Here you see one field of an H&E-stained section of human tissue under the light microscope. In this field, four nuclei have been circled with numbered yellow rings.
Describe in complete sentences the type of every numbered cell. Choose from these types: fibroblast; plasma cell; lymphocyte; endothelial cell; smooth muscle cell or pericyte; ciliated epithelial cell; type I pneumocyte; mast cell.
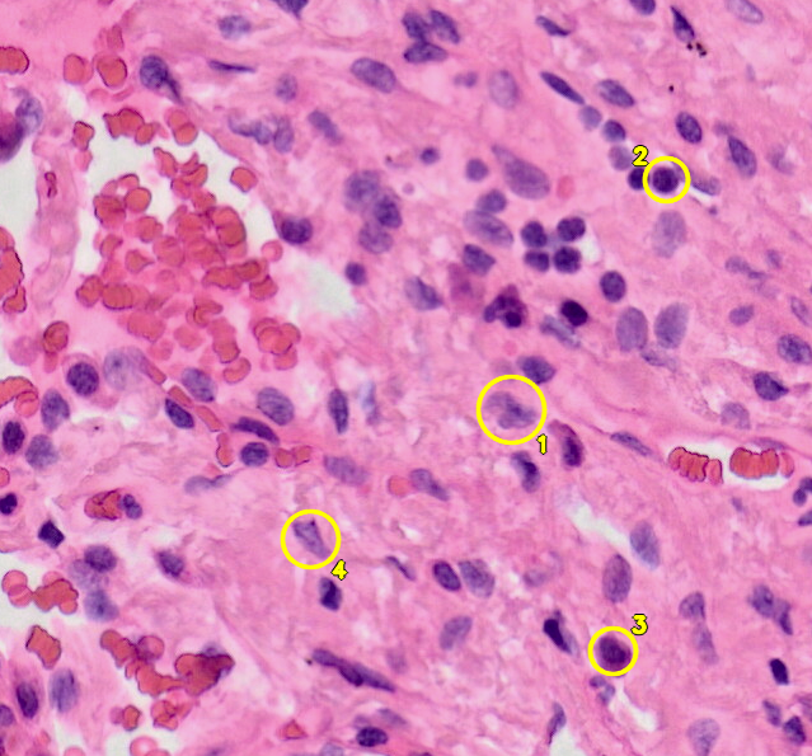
Cell 1 is a fibroblast, cell 2 is a lymphocyte, cell 3 is a plasma cell and cell 4 is a fibroblast.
